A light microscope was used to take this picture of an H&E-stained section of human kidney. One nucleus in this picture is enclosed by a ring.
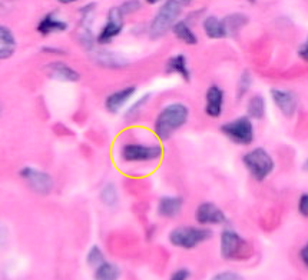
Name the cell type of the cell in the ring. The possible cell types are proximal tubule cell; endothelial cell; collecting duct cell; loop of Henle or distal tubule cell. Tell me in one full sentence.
In this section, the cell in the ring is an endothelial cell.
